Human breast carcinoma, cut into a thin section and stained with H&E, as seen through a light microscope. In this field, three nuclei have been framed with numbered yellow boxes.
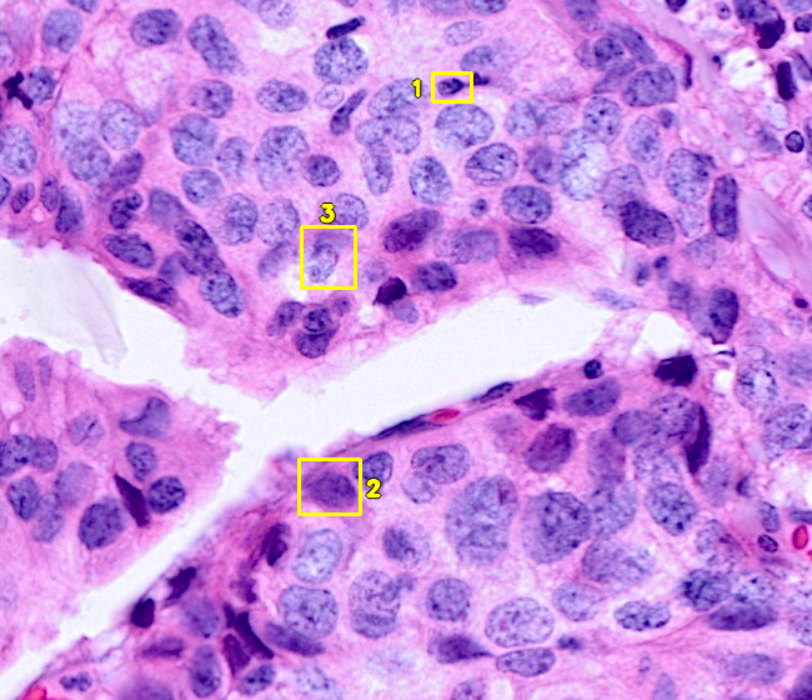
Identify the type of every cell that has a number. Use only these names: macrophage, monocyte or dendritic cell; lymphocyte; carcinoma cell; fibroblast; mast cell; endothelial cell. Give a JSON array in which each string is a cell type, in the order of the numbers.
["lymphocyte", "carcinoma cell", "carcinoma cell"]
